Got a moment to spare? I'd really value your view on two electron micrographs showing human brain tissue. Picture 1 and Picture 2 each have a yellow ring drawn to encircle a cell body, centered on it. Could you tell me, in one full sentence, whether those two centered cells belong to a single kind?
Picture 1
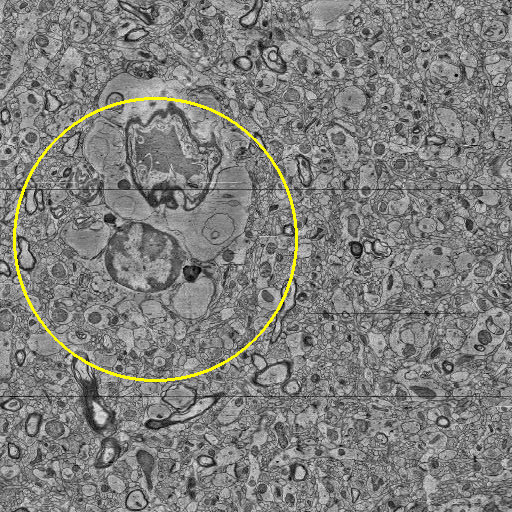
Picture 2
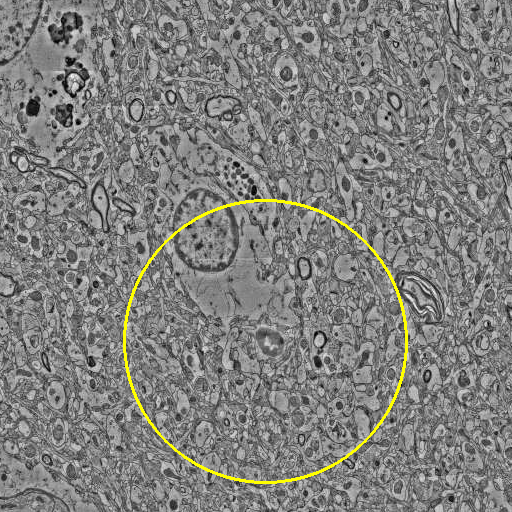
Yes, the two centered cells in Picture 1 and Picture 2 are of a single kind.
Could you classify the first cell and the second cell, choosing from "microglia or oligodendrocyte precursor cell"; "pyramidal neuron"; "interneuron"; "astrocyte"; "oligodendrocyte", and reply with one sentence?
In the first picture and in the second, the ring is centred on a microglial cell or oligodendrocyte precursor cell.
